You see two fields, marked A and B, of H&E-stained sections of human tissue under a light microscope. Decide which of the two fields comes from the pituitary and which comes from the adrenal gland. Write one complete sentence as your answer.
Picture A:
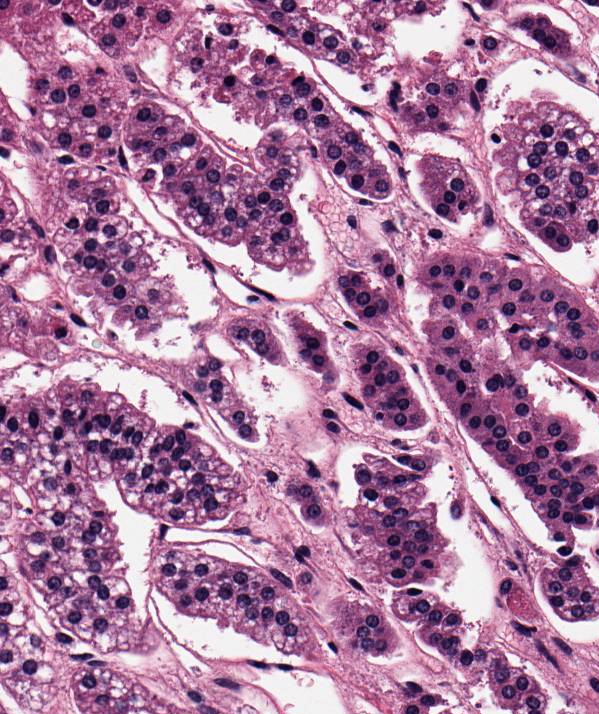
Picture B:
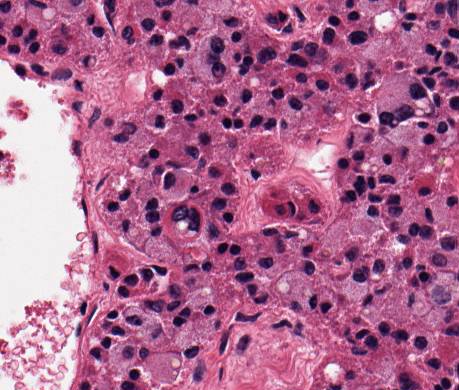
It is picture A that comes from the adrenal gland, and picture B that comes from the pituitary.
